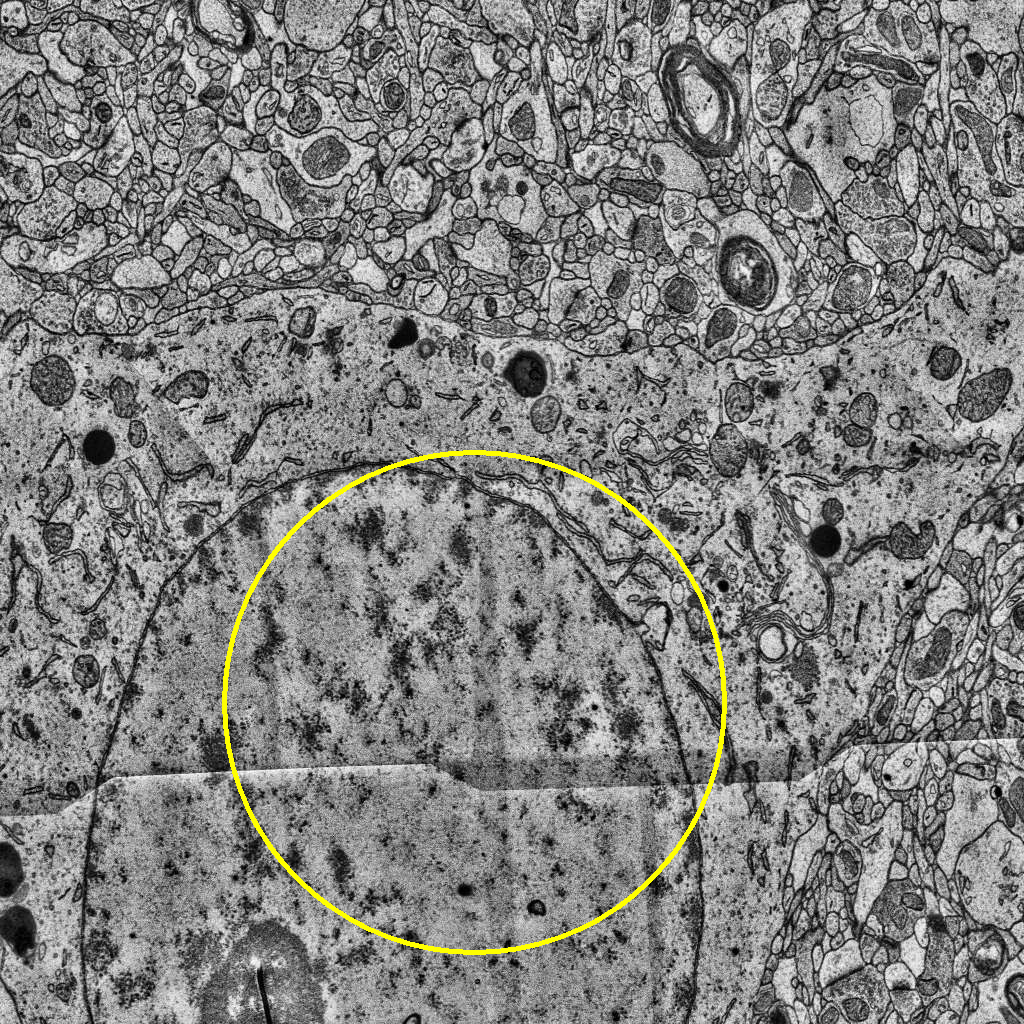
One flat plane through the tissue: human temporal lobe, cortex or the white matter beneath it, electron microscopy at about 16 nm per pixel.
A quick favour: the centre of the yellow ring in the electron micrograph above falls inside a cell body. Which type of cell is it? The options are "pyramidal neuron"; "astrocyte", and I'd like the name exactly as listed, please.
pyramidal neuron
